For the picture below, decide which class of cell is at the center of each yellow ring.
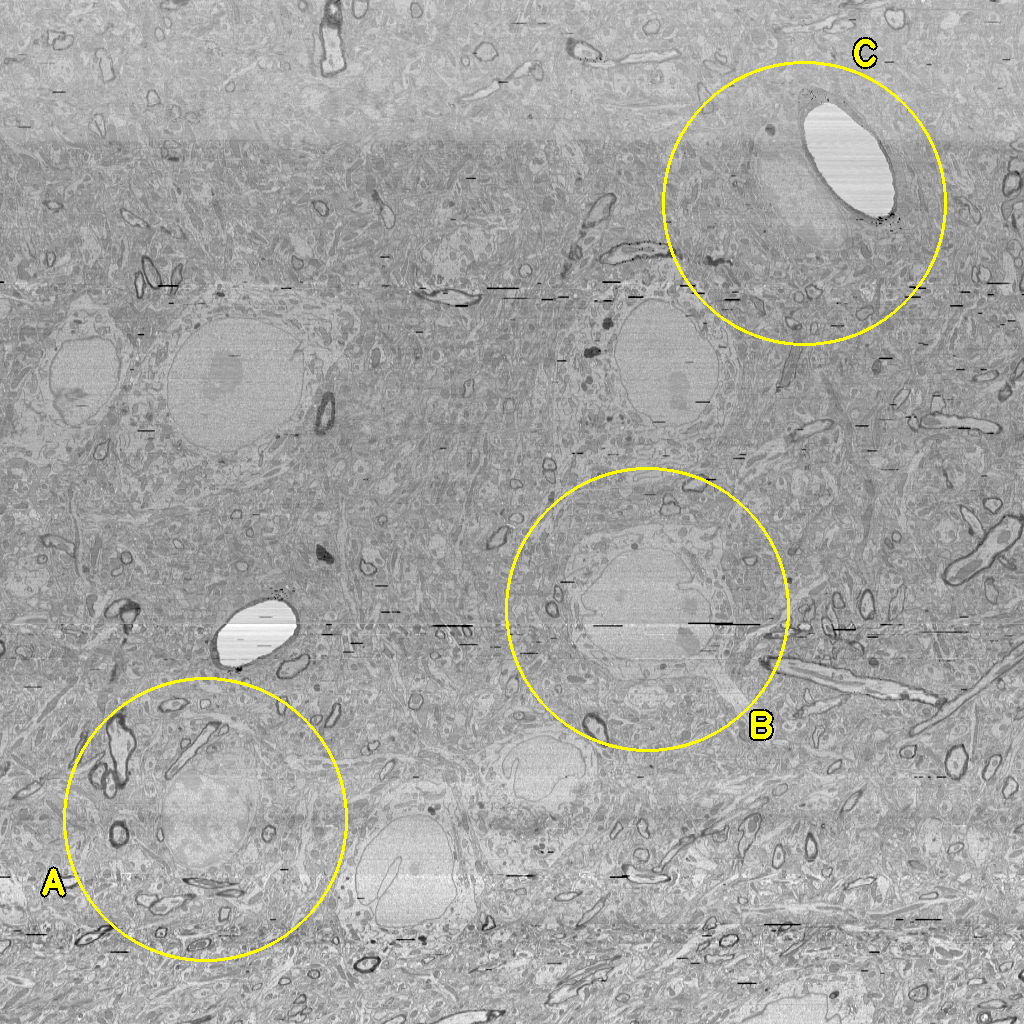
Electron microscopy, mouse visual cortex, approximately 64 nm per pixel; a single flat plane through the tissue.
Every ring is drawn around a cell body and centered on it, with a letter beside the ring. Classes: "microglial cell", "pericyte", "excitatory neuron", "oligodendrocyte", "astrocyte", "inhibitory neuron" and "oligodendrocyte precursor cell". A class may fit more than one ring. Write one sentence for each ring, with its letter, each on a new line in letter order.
Centered in ring A is an oligodendrocyte.
Centered in ring B is an excitatory neuron.
Centered in ring C is an oligodendrocyte.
